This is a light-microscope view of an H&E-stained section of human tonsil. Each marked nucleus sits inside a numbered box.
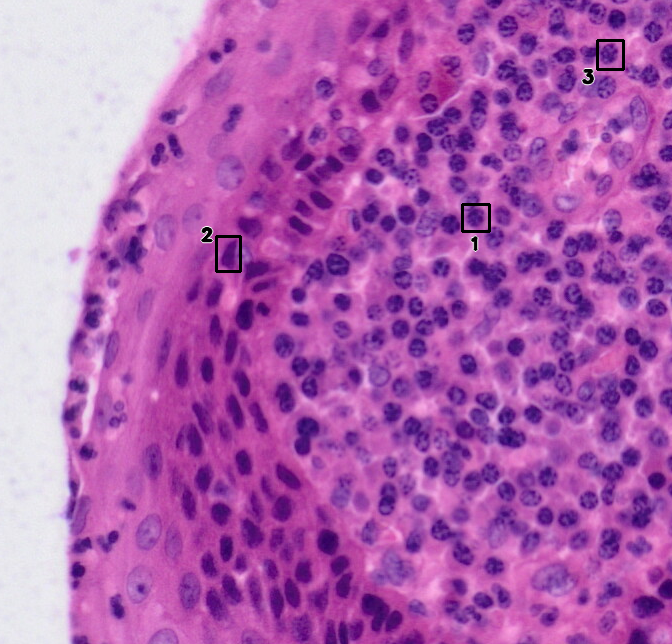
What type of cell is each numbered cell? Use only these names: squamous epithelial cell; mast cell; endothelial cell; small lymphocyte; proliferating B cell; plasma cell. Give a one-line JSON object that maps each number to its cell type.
{"1": "plasma cell", "2": "squamous epithelial cell", "3": "plasma cell"}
